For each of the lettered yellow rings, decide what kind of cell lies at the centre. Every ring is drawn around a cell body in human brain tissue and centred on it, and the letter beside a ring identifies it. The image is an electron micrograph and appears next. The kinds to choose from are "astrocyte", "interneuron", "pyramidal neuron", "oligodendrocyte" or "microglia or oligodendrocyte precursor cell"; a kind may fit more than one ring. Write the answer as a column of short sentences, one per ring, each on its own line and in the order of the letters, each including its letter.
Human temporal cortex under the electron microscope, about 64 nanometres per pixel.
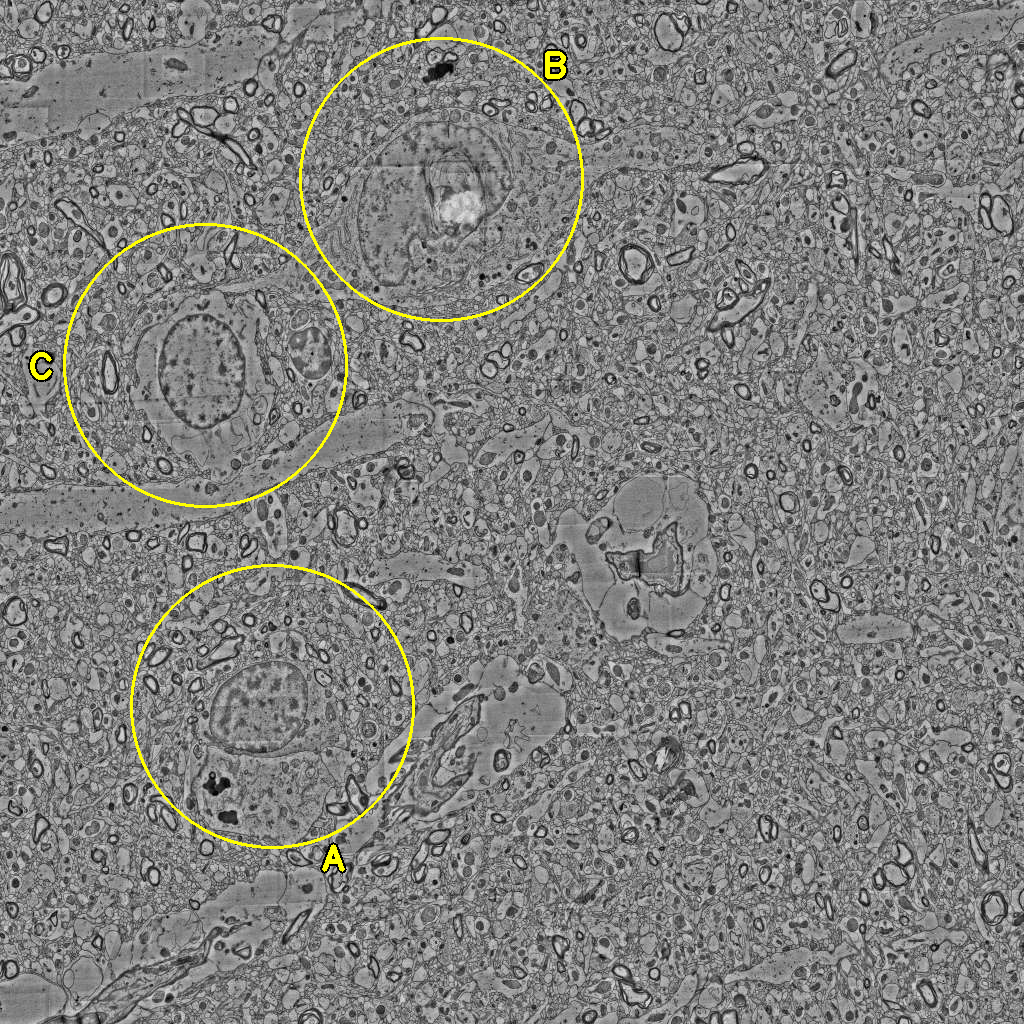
In the centre of ring A lies an oligodendrocyte.
In the centre of ring B lies an interneuron.
In the centre of ring C lies an astrocyte.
